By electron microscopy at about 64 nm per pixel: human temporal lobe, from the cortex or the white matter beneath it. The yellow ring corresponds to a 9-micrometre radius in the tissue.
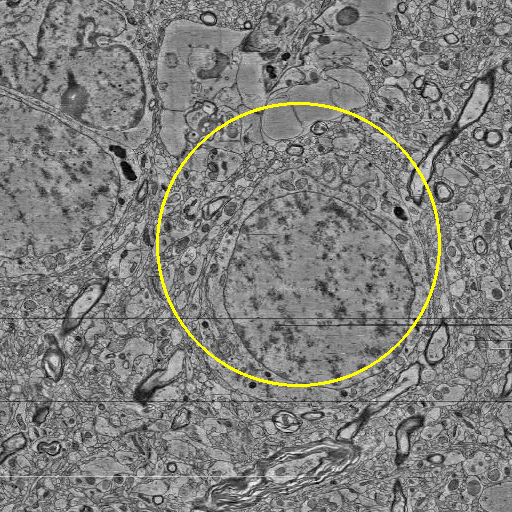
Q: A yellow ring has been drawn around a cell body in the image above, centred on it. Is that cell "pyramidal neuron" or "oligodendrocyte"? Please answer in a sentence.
The ring surrounds the cell body of a pyramidal neuron.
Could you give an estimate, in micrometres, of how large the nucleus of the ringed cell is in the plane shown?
In this plane, the nucleus measures approximately 13 micrometres across.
